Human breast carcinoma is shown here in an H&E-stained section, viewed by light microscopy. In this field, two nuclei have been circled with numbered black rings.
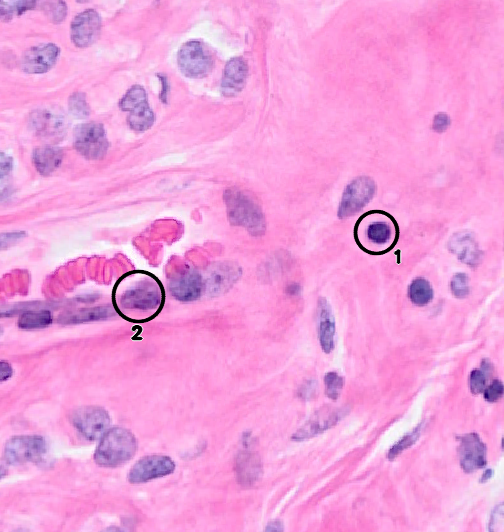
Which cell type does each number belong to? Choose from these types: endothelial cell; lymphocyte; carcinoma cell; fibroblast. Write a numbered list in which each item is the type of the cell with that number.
1. lymphocyte
2. endothelial cell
